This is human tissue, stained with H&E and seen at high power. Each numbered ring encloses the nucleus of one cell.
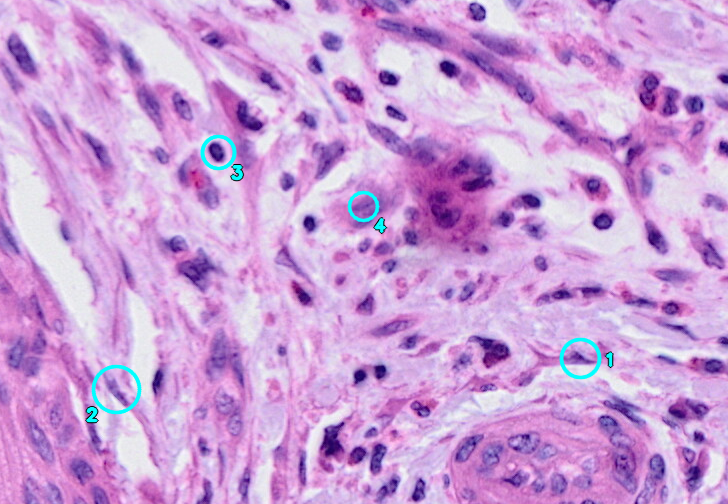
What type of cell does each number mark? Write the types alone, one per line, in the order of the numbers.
fibroblast
fibroblast
lymphocyte
endothelial cell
